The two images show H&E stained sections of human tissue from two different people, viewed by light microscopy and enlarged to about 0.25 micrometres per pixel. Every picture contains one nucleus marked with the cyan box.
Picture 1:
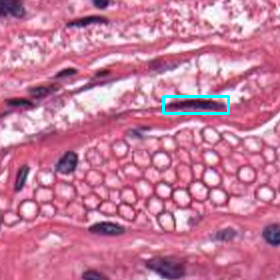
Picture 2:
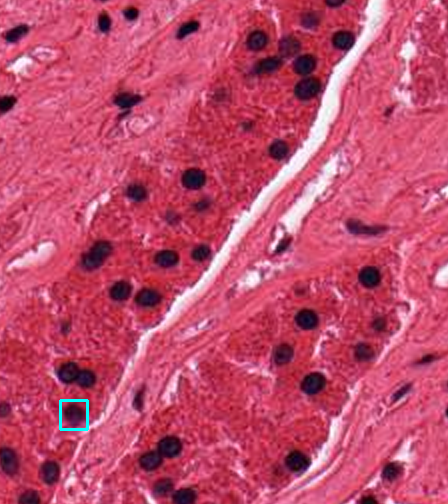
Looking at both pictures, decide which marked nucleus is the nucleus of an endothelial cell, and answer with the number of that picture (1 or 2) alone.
1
